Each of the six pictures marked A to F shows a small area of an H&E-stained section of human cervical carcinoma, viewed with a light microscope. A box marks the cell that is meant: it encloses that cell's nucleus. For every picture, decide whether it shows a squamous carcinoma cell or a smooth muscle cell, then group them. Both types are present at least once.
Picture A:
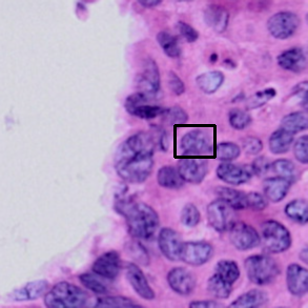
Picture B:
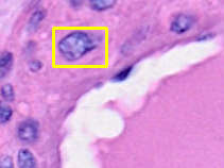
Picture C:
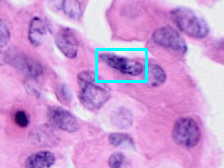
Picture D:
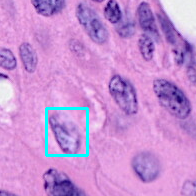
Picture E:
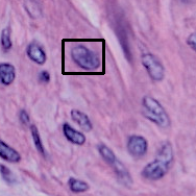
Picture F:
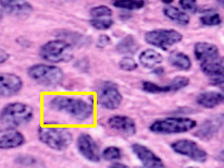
A: squamous carcinoma cell
B: smooth muscle cell
C: squamous carcinoma cell
D: squamous carcinoma cell
E: smooth muscle cell
F: squamous carcinoma cell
